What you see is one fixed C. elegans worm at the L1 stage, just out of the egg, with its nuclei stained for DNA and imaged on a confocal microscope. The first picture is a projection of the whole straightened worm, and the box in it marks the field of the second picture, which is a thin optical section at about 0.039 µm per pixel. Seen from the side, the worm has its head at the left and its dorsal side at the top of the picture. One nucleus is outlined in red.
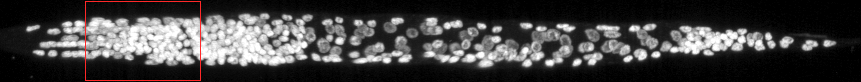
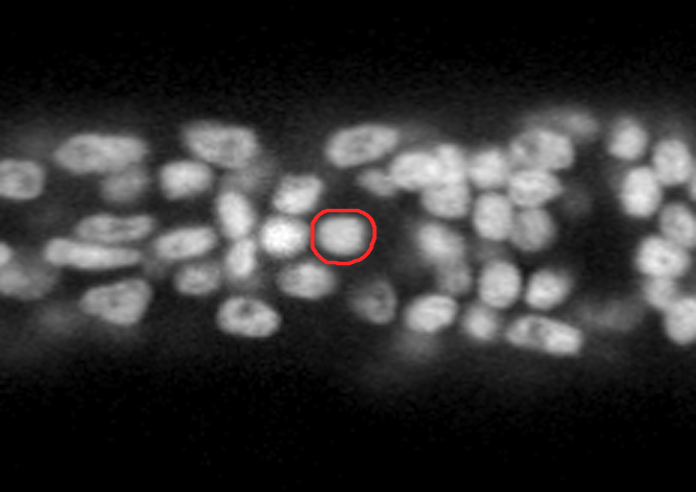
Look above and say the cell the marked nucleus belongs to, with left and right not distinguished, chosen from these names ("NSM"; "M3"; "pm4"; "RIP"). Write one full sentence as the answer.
The marked nucleus belongs to NSM, a neuron.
